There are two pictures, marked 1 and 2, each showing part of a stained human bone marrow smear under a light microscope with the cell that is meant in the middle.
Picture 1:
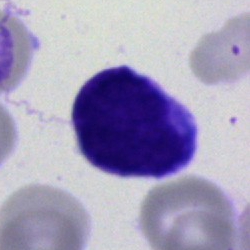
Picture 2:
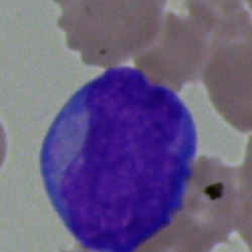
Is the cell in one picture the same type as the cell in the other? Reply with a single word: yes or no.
yes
